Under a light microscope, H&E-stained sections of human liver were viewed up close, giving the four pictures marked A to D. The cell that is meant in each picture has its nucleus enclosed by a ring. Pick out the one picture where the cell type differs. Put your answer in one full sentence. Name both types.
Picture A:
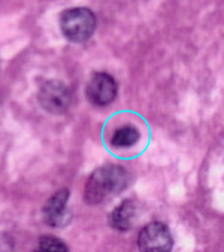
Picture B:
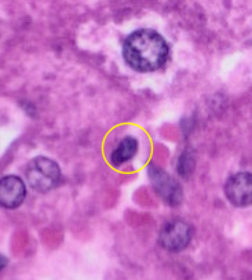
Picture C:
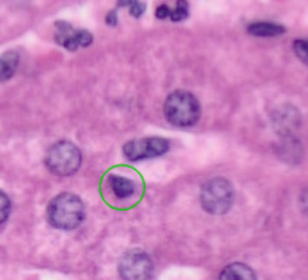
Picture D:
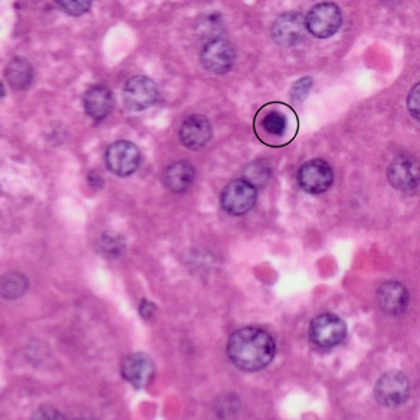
Unlike the rest, which show lymphocytes, picture C shows a “fibroblast or stellate cell”.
